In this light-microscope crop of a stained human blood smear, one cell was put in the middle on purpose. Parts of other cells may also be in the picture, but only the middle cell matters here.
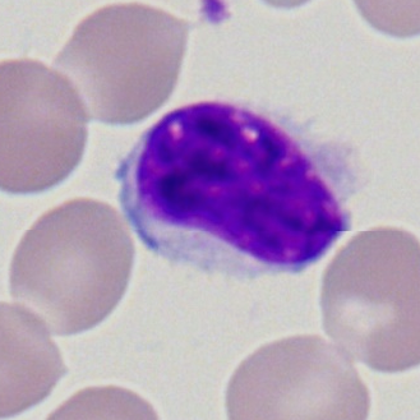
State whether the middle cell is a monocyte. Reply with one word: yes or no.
no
